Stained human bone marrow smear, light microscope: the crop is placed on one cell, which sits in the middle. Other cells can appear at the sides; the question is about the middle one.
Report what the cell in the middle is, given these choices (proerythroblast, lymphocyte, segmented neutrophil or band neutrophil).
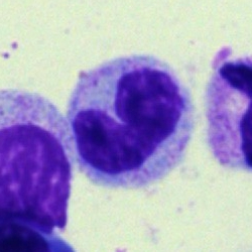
band neutrophil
